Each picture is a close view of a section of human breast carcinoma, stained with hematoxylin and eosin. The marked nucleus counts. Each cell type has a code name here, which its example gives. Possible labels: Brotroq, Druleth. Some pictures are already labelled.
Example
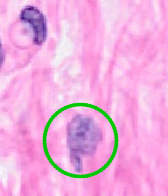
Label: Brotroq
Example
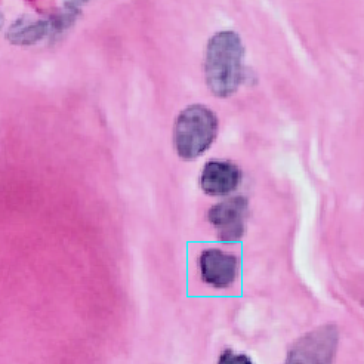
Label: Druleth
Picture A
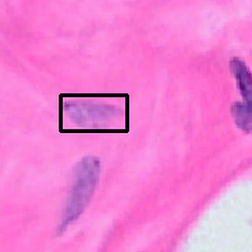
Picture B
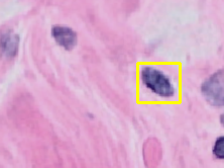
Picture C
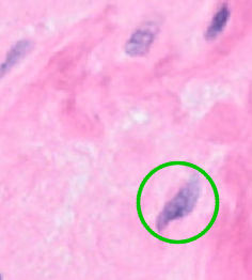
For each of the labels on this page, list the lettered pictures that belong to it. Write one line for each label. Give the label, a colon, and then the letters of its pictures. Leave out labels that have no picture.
Brotroq: A, C
Druleth: B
